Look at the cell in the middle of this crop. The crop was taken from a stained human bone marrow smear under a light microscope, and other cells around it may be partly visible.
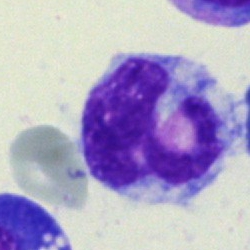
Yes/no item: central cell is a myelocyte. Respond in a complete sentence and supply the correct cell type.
No, in the centre of the crop lies a monocyte, not a myelocyte.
